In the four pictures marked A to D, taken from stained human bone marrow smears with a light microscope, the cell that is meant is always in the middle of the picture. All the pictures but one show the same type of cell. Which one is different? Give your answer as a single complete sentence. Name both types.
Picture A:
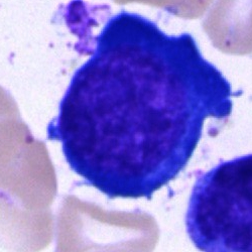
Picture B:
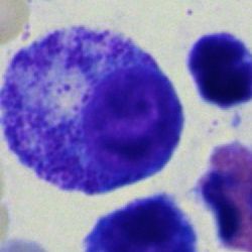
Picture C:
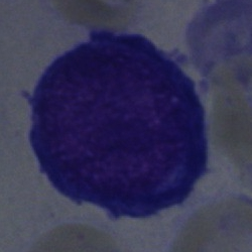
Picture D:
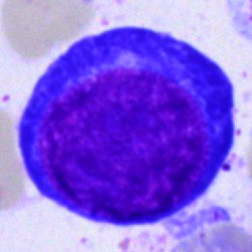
The different one is picture B; it shows a promyelocyte, whereas all the others show proerythroblasts.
